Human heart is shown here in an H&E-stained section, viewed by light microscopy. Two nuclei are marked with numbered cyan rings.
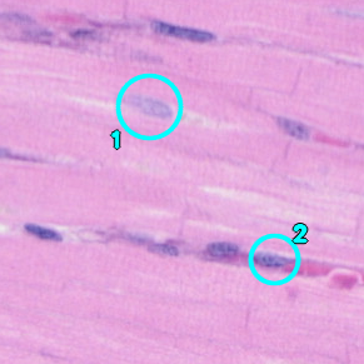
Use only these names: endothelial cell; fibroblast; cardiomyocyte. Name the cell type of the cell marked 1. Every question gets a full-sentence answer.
The nucleus labelled 1 belongs to a cardiomyocyte.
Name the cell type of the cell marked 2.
In this section, the cell numbered 2 is an endothelial cell.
